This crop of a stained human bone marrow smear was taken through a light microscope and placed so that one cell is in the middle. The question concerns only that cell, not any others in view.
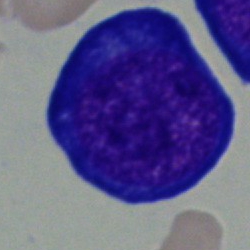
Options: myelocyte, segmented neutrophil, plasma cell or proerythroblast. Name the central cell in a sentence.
Where the crop is centred, there is a proerythroblast.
